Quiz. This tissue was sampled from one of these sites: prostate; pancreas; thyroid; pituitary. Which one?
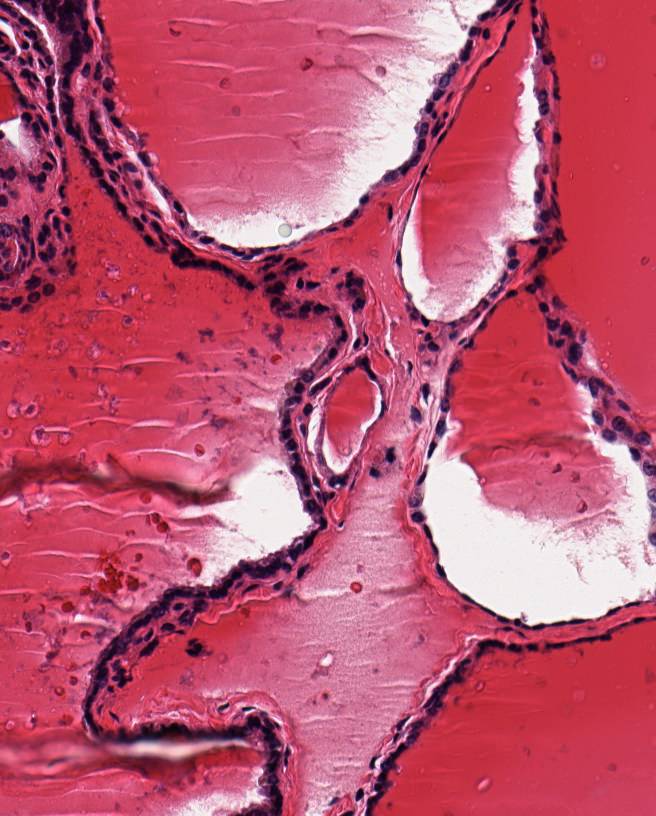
thyroid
